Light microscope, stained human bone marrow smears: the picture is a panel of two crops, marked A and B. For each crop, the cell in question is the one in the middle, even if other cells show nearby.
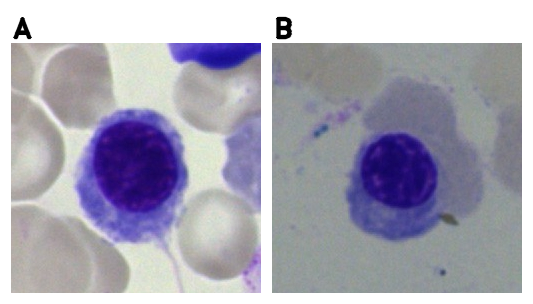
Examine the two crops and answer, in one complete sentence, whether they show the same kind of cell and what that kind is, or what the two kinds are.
Yes, in short, both crops show normoblasts.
